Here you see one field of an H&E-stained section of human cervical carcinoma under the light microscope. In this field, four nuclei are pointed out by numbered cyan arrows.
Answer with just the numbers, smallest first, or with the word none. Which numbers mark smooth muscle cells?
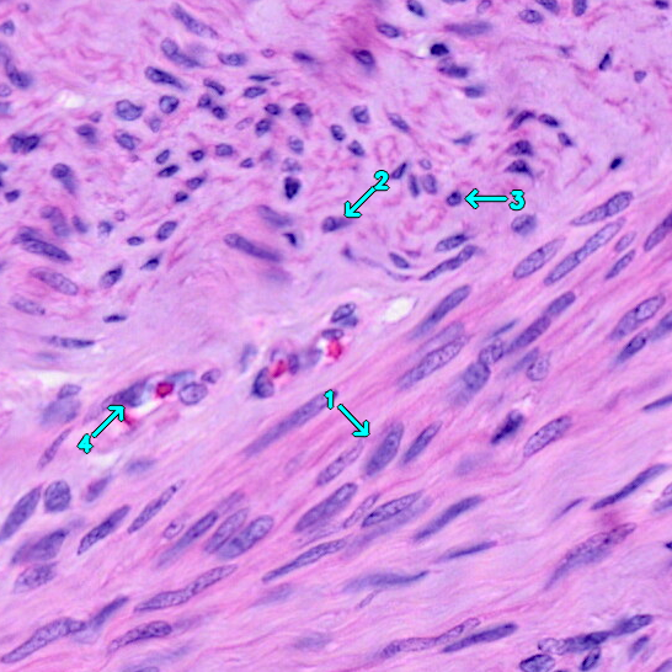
1, 2, 3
